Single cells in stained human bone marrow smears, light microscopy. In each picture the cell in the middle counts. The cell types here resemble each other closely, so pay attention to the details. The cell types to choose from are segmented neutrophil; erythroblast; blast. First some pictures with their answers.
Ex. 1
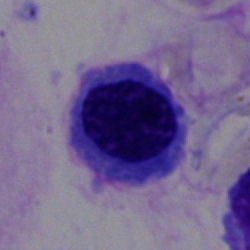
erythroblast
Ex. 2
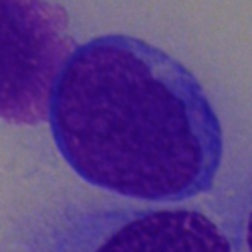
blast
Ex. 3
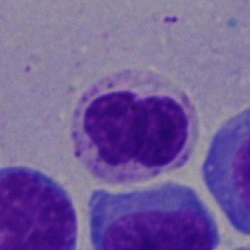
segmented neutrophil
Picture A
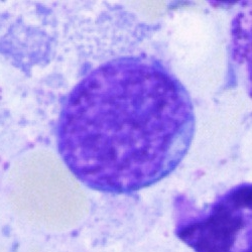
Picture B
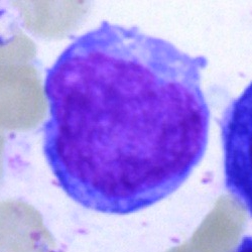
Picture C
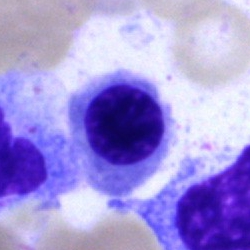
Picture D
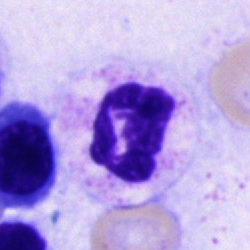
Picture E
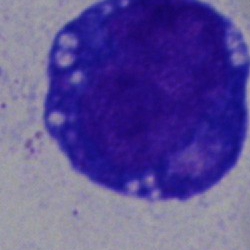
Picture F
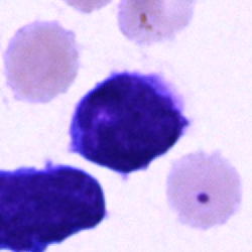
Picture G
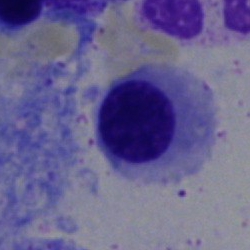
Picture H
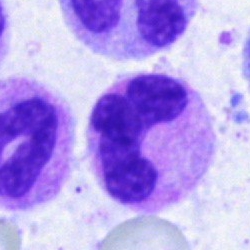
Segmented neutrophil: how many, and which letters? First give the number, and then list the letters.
2: D, H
